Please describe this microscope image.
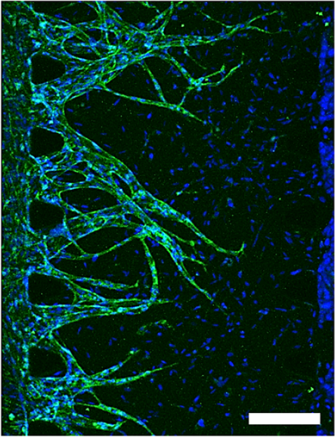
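Here endothelial cells, outlined in green, have grown out from the left side as branching vessel sprouts. Near the left edge they form a dense mesh of joined tubes, and further right single slender sprouts reach out and split, some ending in thin tips. Elongated blue nuclei sit along the green tubes. In the gel around and beyond the sprouts, many other blue nuclei lie scattered, belonging to cells that carry no green. A narrow band of densely packed blue nuclei runs along the right edge of the field.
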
